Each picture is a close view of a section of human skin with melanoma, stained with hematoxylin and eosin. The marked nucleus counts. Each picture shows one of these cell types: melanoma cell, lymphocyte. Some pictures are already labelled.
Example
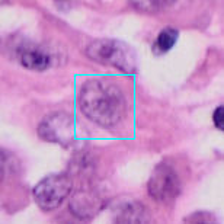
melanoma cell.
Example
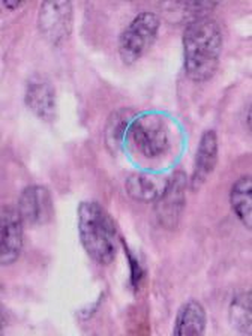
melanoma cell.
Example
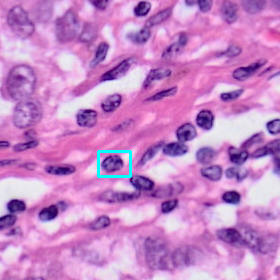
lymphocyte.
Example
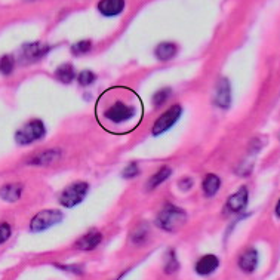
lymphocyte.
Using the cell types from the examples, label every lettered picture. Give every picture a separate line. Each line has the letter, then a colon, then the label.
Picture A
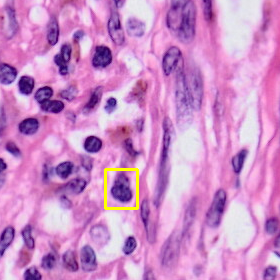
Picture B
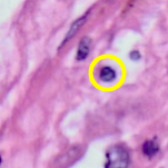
A: lymphocyte.
B: lymphocyte.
